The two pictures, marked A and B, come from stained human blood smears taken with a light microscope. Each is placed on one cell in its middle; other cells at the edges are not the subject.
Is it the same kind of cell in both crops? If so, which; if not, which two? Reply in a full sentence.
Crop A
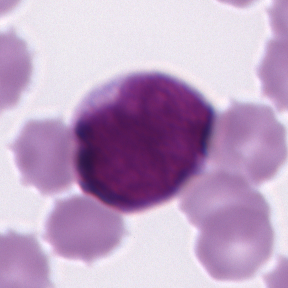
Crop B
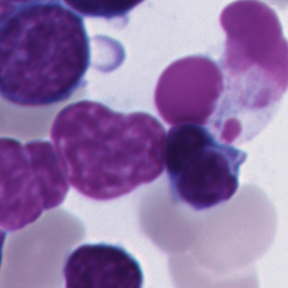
Yes, both crops show myeloblasts, each crop centred on one of them.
